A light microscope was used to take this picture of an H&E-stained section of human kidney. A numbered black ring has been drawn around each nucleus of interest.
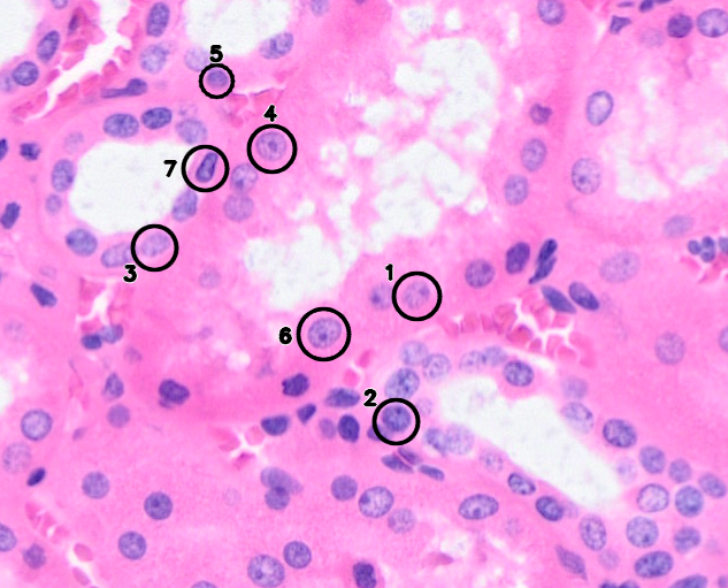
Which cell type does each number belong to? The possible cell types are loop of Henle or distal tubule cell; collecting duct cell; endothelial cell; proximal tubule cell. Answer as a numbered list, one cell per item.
1. proximal tubule cell
2. collecting duct cell
3. collecting duct cell
4. proximal tubule cell
5. collecting duct cell
6. proximal tubule cell
7. collecting duct cell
